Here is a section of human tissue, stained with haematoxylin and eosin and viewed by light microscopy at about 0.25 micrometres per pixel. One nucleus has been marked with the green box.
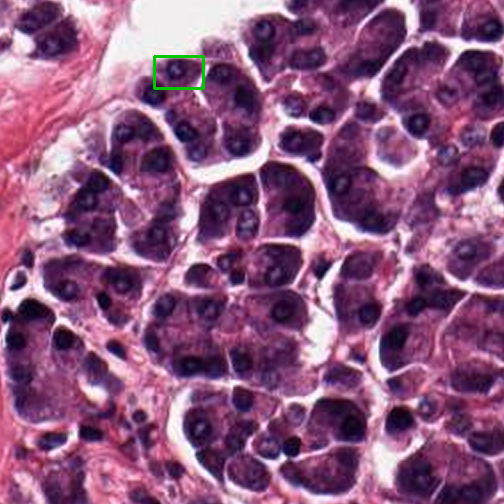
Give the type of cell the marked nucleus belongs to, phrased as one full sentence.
The marked nucleus is a nucleus of a pancreatic acinar cell.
